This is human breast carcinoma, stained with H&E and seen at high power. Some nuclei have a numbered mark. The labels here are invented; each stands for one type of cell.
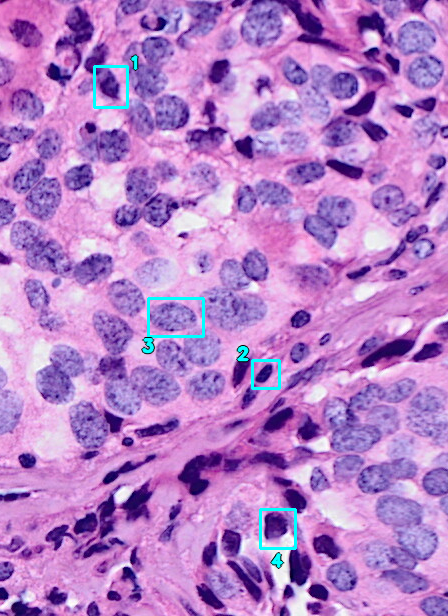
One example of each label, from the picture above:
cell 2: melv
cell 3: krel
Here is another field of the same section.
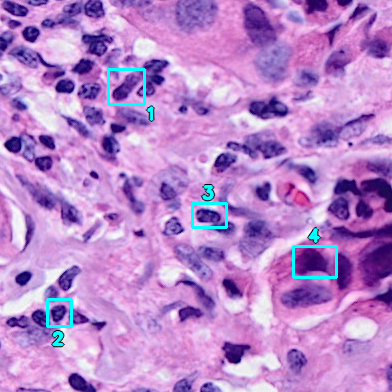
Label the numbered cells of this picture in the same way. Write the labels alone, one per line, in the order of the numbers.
melv
melv
melv
krel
